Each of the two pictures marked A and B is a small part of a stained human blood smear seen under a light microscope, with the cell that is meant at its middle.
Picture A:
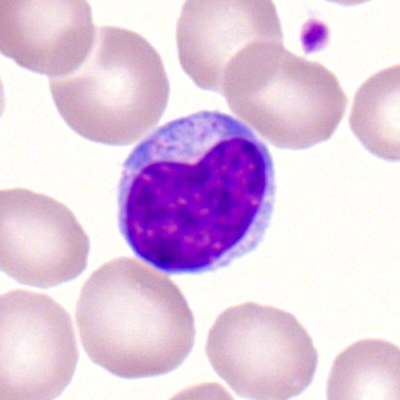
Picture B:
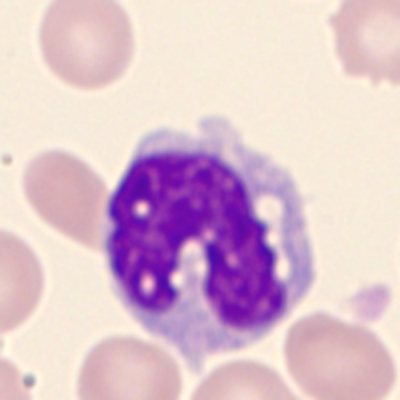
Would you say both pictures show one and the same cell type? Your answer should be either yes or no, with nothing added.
no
